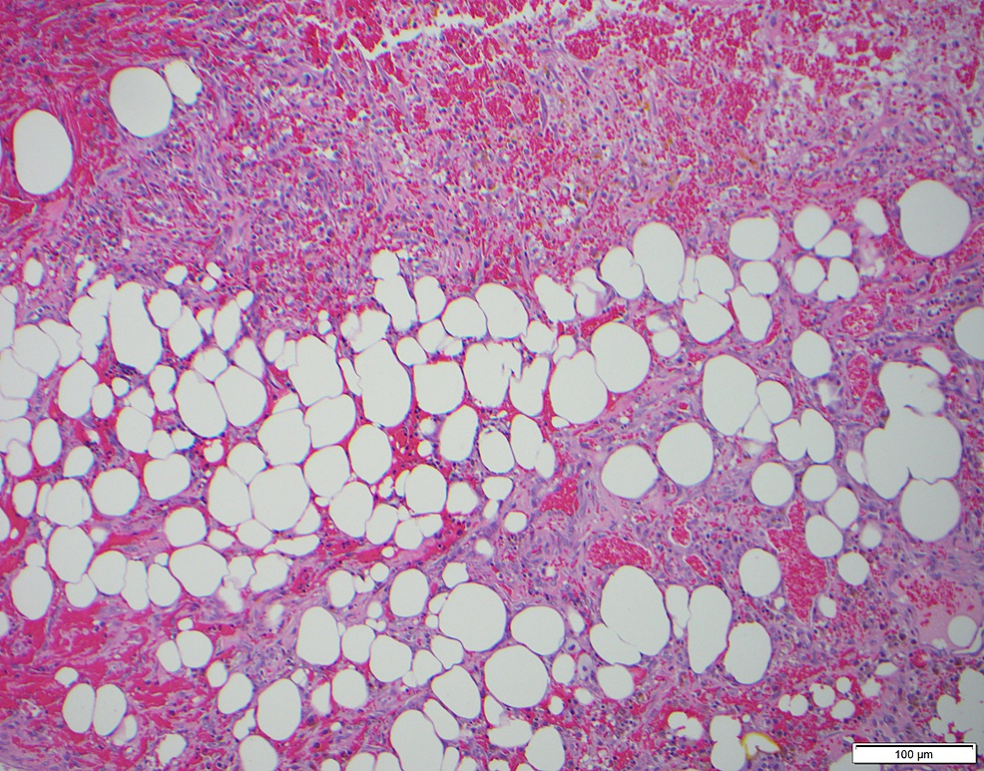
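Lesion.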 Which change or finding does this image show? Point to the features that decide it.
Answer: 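Extensive hemorrhage. Large sheets of red-staining red blood cells fill the upper part of the field. Red blood cells also pool between the fat vacuoles and stromal cells.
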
